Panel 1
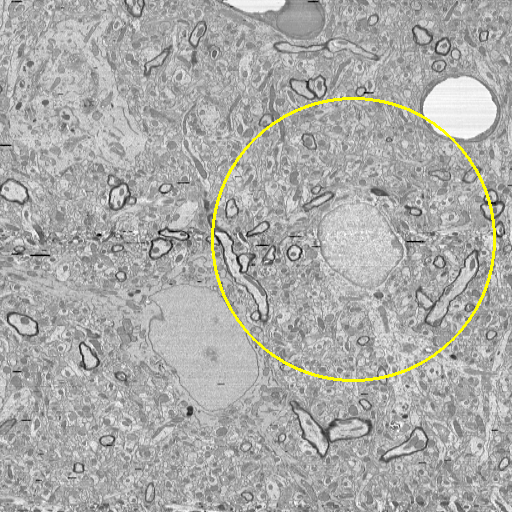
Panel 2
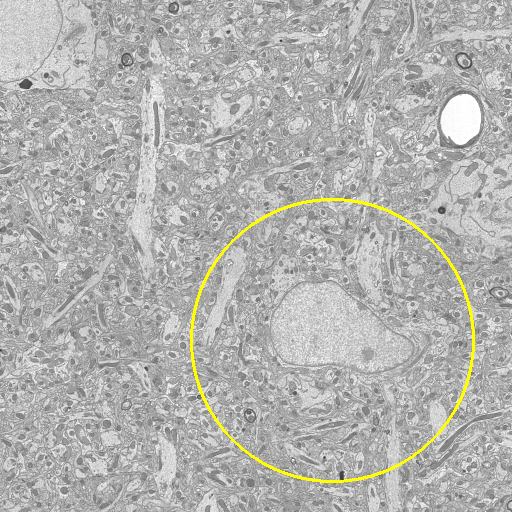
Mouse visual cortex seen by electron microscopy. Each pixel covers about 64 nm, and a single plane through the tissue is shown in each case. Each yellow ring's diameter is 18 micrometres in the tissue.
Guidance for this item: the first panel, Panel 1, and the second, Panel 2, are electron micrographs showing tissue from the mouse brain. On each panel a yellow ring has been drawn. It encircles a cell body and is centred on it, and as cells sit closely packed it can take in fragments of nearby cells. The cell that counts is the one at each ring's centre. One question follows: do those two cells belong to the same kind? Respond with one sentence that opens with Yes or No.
Yes, the cells at the ring centres in Panel 1 and Panel 2 are of one kind.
